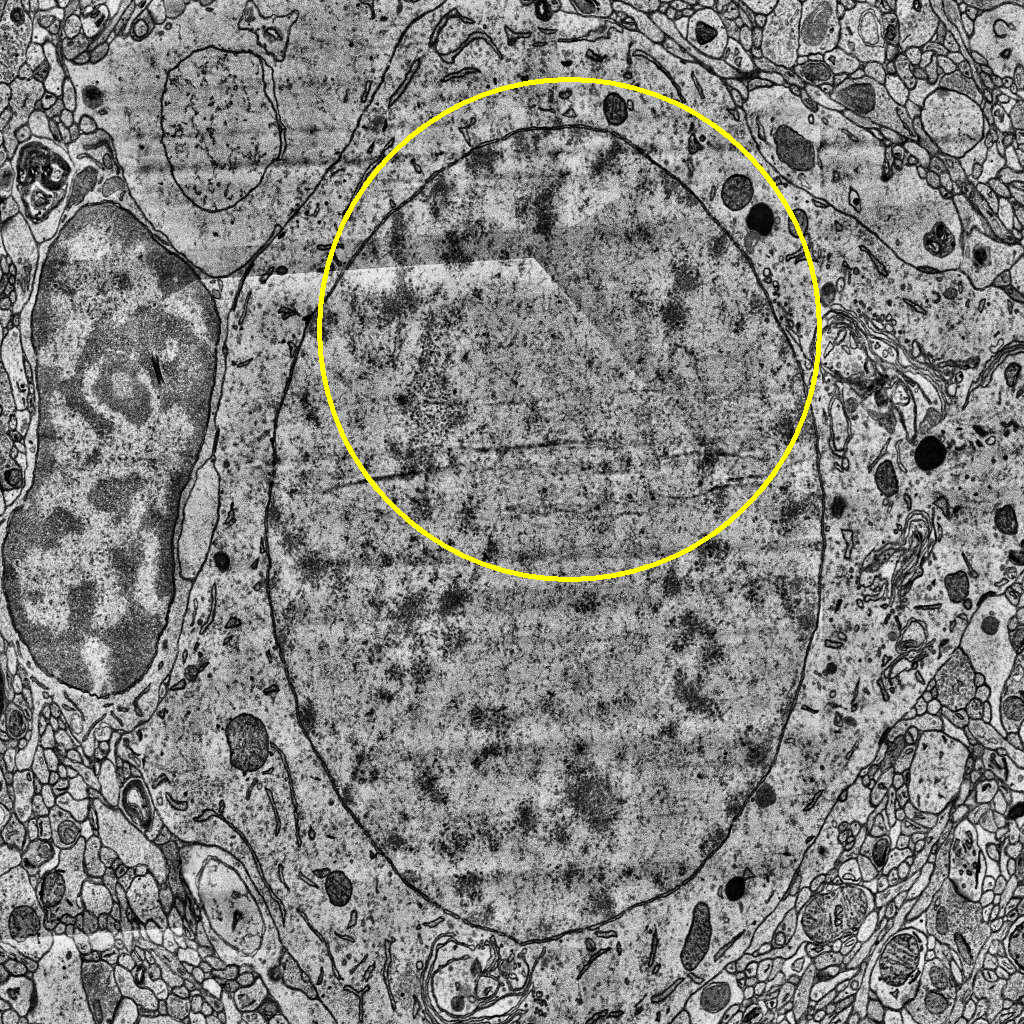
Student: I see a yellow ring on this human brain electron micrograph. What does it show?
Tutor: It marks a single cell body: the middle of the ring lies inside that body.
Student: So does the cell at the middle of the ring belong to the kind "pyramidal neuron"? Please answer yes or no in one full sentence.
Yes, the cell lying at the middle of that yellow ring belongs to this kind.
